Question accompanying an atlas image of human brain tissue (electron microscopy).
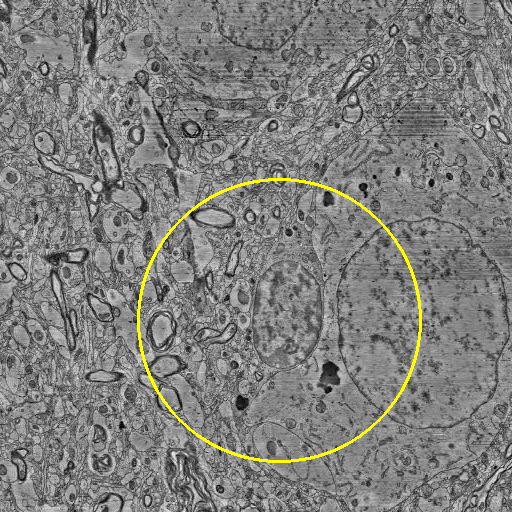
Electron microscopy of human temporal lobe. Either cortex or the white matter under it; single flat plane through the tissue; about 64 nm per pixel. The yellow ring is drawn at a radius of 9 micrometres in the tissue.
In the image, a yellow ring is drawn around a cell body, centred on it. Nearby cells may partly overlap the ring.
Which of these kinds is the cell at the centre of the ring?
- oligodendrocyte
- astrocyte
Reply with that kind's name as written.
oligodendrocyte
